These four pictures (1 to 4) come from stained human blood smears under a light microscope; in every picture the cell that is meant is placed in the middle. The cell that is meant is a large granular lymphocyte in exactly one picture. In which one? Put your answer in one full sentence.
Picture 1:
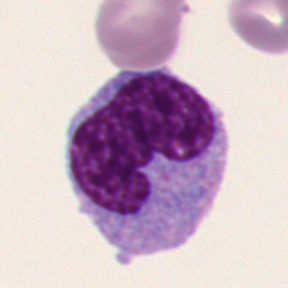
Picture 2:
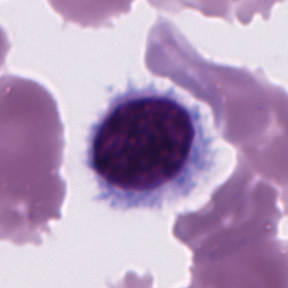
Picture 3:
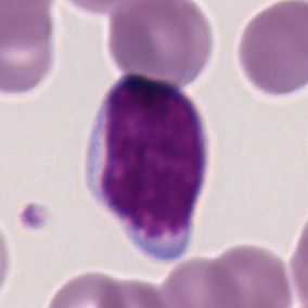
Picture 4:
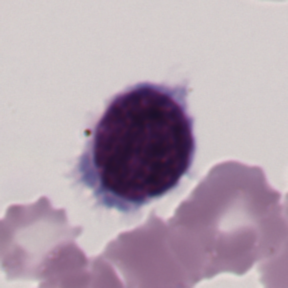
Picture 3 shows the large granular lymphocyte.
